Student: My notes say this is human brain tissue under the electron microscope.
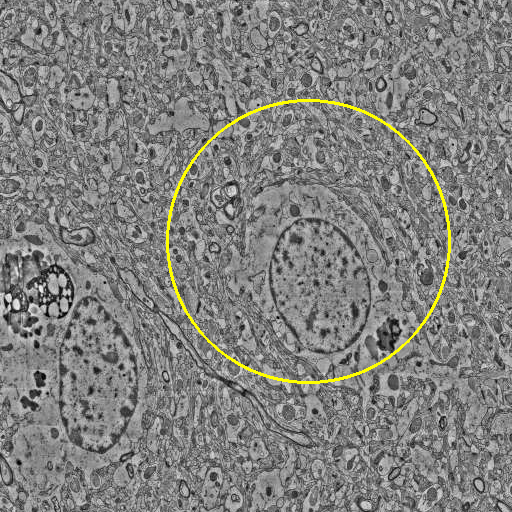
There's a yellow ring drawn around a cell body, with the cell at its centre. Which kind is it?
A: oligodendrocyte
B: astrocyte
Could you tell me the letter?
B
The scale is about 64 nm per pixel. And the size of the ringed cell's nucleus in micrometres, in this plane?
Approximately 9 micrometres long and 6 micrometres wide, in this plane.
